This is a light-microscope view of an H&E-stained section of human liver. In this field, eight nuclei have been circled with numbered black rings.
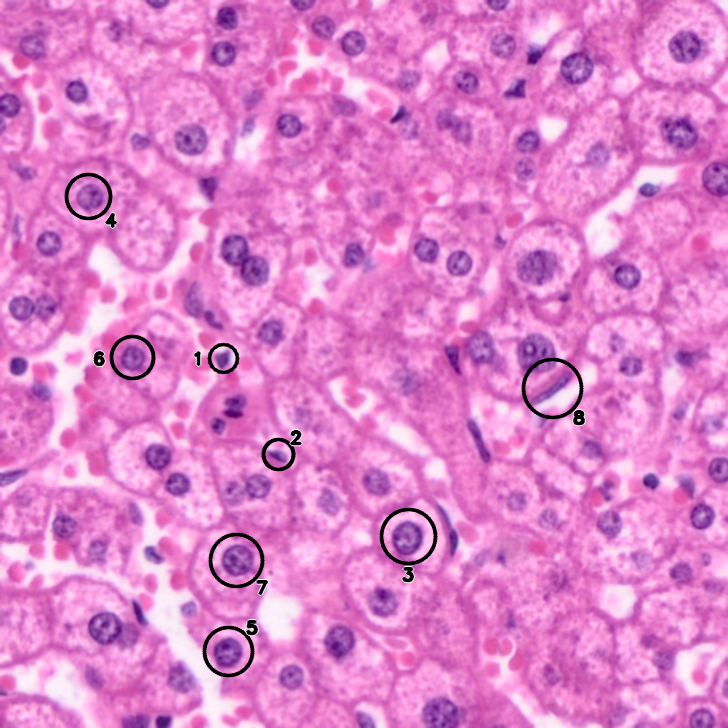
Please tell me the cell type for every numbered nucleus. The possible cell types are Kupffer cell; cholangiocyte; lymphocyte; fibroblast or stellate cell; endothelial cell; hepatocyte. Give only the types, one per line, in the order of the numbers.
lymphocyte
endothelial cell
hepatocyte
hepatocyte
hepatocyte
hepatocyte
hepatocyte
Kupffer cell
